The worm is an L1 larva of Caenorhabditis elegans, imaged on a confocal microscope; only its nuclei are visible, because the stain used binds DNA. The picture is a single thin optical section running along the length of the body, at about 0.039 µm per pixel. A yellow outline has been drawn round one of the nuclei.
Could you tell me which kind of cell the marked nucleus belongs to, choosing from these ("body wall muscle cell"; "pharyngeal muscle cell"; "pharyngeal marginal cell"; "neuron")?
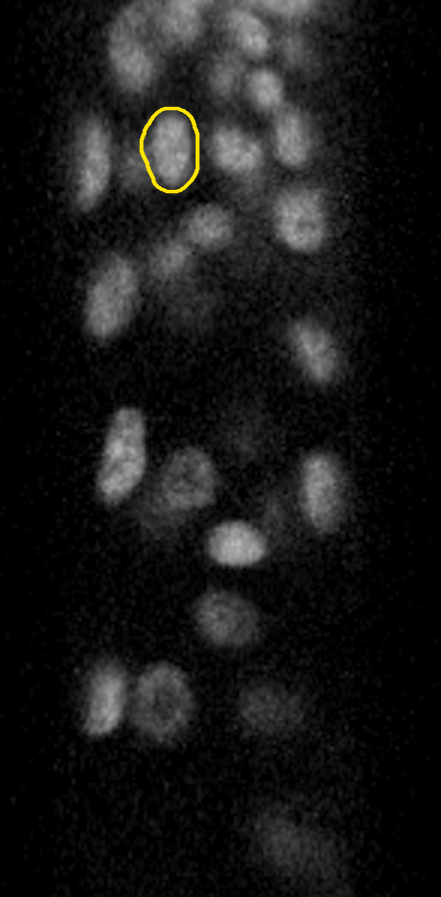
pharyngeal marginal cell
